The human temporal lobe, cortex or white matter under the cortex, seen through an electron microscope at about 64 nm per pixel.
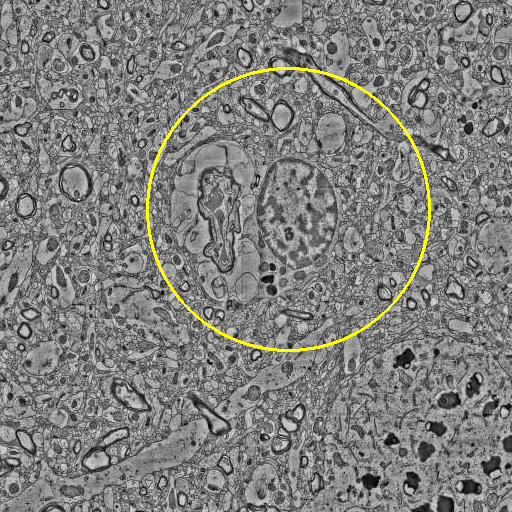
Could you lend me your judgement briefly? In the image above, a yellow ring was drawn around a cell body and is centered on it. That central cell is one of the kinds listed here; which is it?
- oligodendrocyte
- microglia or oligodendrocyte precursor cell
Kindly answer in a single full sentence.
Going by the list, an oligodendrocyte is the kind at the ring's center in the picture.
